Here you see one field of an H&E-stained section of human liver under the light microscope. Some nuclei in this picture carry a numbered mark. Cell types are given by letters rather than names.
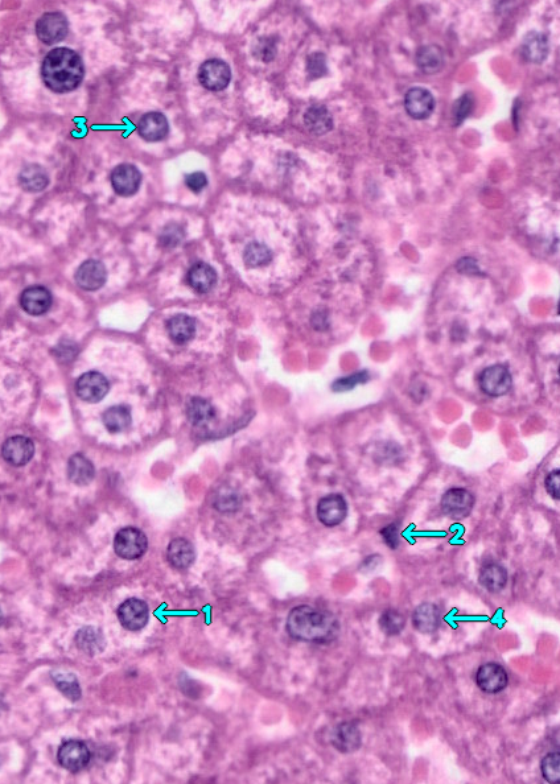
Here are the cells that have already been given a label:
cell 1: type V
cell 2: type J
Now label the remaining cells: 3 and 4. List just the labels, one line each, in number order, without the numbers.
type V
type V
